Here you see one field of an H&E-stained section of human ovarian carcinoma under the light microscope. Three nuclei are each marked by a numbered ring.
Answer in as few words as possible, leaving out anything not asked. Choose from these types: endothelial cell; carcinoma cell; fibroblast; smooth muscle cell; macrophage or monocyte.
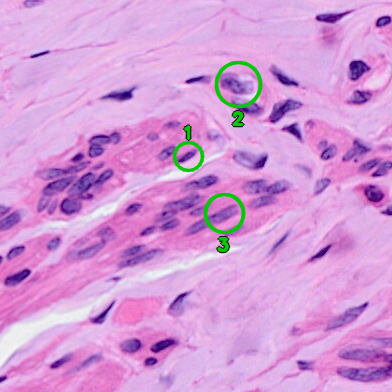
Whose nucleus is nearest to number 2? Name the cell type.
endothelial cell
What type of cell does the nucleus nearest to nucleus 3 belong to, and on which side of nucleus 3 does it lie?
a smooth muscle cell below and to the right of nucleus 3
